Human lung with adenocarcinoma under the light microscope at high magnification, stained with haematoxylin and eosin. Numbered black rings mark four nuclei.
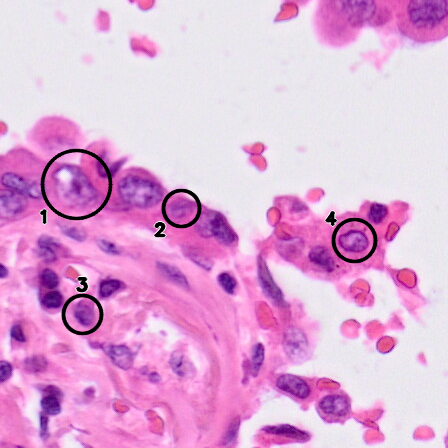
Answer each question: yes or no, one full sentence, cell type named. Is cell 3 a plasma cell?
Yes, cell 3 is a plasma cell in this tissue section.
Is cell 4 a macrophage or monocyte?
Yes, the cell that is numbered 4 is a macrophage or monocyte.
